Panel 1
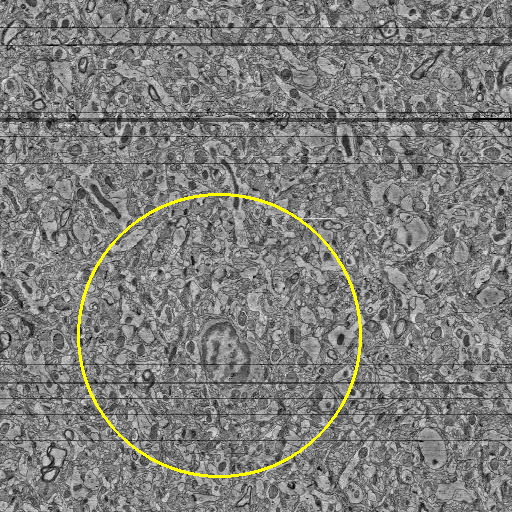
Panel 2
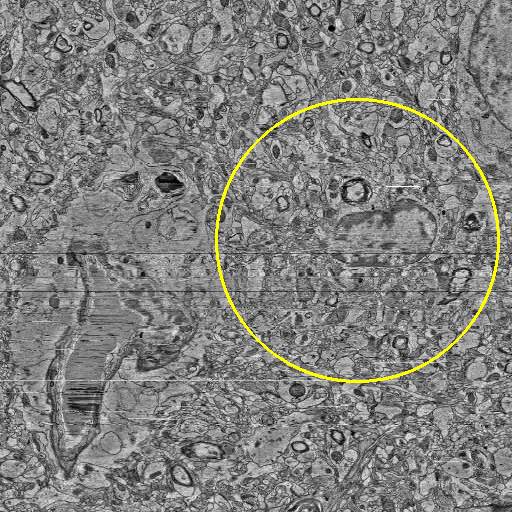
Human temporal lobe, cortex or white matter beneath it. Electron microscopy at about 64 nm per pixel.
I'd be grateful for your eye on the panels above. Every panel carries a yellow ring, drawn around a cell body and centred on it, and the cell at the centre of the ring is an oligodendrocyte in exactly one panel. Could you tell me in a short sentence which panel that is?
Panel 1 is the one with it at the centre of the ring.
